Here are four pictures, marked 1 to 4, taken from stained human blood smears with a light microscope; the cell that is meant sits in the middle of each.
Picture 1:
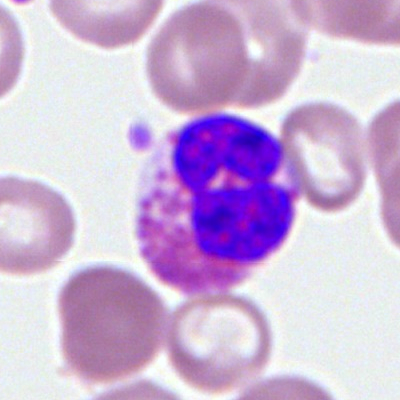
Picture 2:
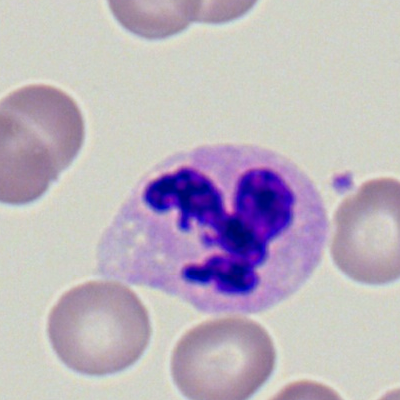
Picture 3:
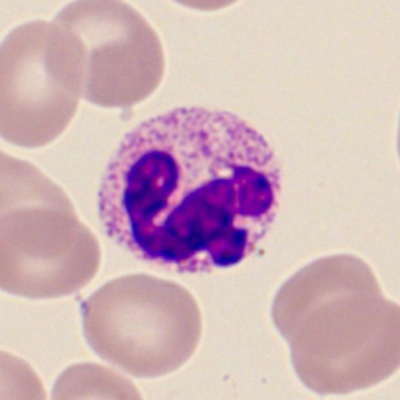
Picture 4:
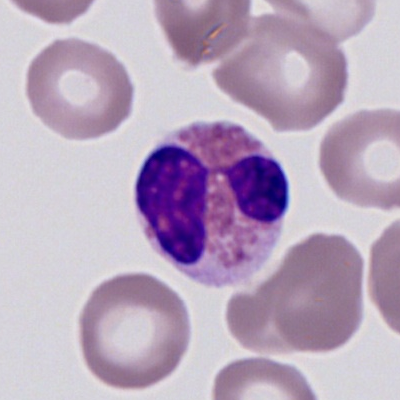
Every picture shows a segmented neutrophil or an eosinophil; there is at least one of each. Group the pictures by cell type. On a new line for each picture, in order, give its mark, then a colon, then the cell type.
1: eosinophil
2: segmented neutrophil
3: segmented neutrophil
4: eosinophil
